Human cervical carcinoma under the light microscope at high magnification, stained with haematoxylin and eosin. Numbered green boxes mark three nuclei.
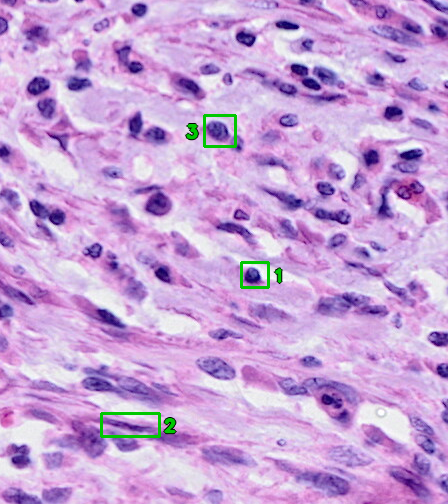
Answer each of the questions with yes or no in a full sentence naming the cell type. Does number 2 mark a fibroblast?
Yes, exactly, the cell numbered 2 is a fibroblast.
